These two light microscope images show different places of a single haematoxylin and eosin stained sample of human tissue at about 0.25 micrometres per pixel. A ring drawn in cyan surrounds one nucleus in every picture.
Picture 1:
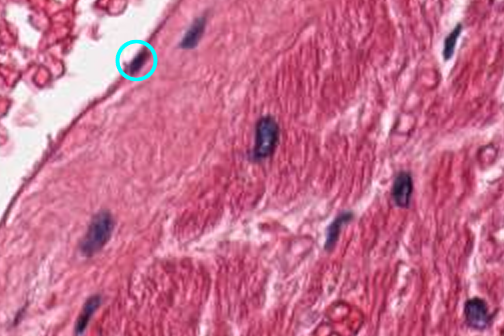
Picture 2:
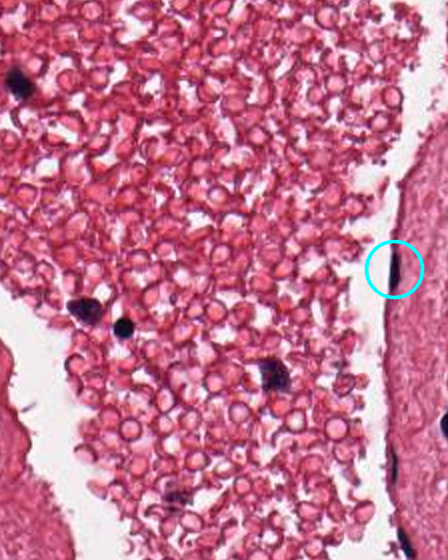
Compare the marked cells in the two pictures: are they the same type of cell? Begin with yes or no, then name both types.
Yes, both are endothelial cells.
